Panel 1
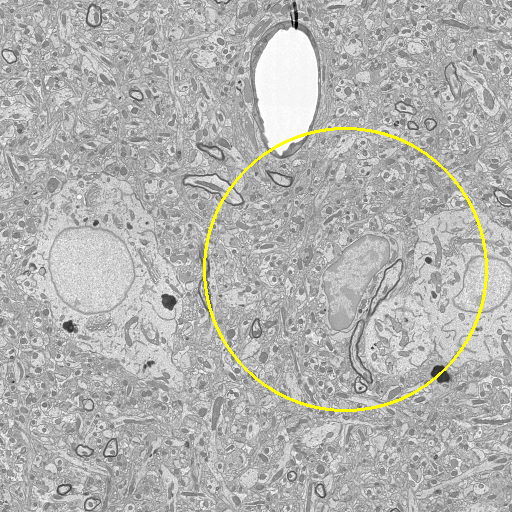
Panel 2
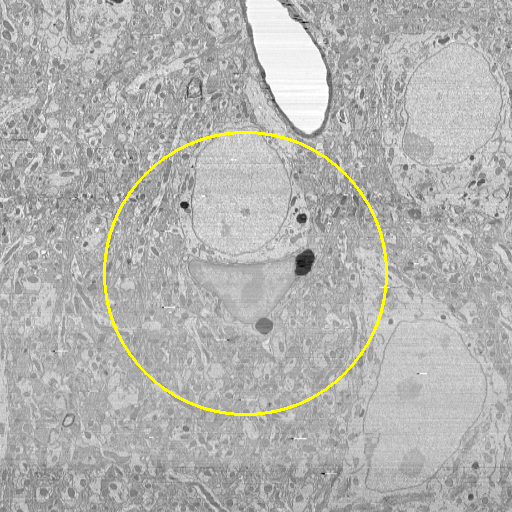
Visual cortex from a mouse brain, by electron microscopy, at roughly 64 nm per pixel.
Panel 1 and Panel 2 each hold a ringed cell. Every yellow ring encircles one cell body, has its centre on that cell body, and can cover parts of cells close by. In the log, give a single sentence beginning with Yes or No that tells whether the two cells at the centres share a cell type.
Yes, in Panel 1 and Panel 2 the centred cells share a cell type.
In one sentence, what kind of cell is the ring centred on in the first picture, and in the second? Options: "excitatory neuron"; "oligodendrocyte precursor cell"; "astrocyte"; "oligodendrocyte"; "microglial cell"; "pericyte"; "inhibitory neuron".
Each cell, in the first picture and the second, is a microglial cell.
